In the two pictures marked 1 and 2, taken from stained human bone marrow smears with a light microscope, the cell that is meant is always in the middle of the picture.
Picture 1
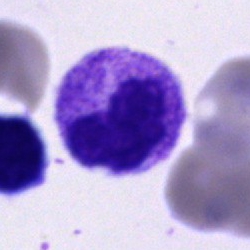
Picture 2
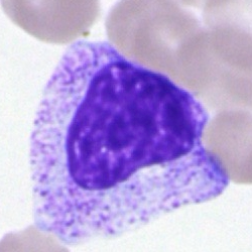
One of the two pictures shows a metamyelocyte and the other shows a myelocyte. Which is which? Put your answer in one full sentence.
Picture 1 shows a metamyelocyte and picture 2 shows a myelocyte.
